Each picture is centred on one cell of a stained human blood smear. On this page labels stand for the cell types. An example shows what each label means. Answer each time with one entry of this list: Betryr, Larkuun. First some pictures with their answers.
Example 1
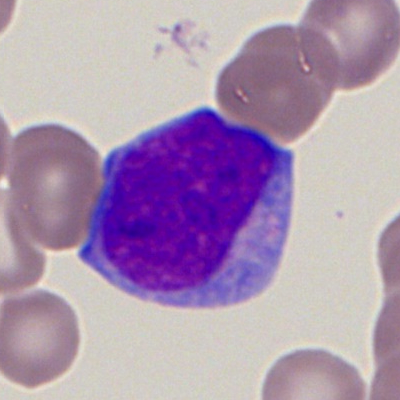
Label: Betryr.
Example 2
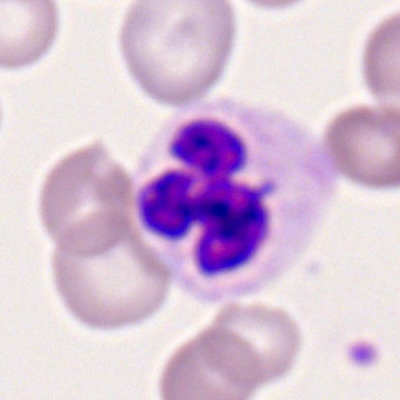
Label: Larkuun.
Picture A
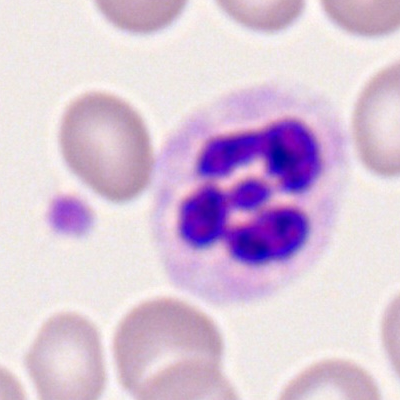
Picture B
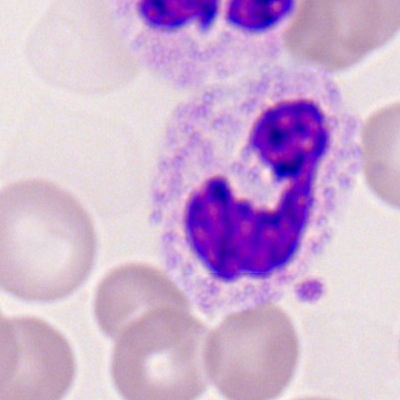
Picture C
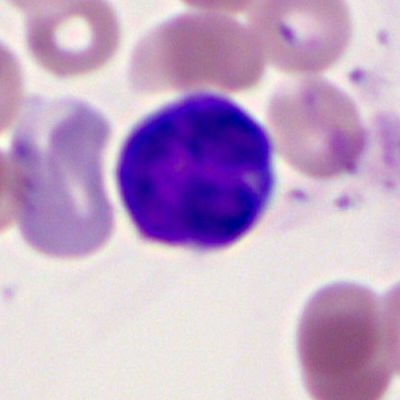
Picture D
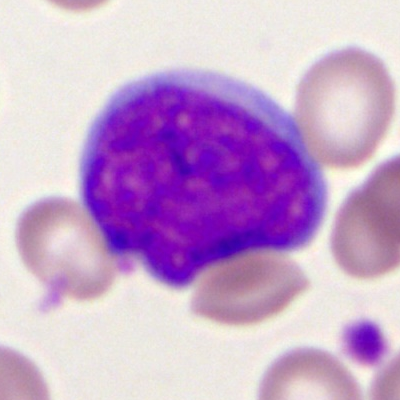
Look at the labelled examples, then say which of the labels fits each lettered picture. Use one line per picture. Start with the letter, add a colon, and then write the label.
A: Larkuun.
B: Larkuun.
C: Betryr.
D: Betryr.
